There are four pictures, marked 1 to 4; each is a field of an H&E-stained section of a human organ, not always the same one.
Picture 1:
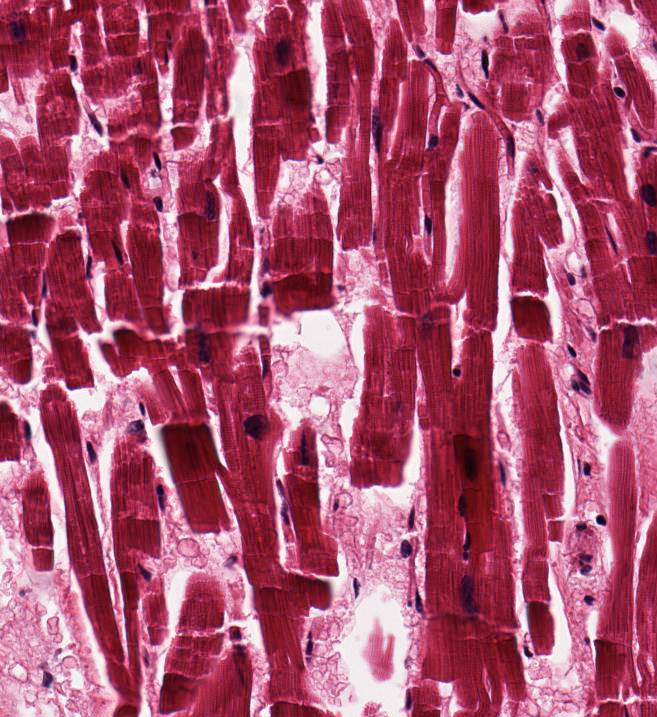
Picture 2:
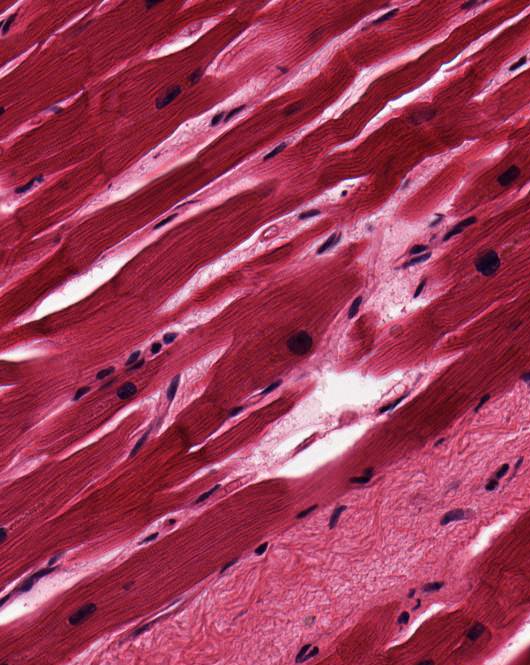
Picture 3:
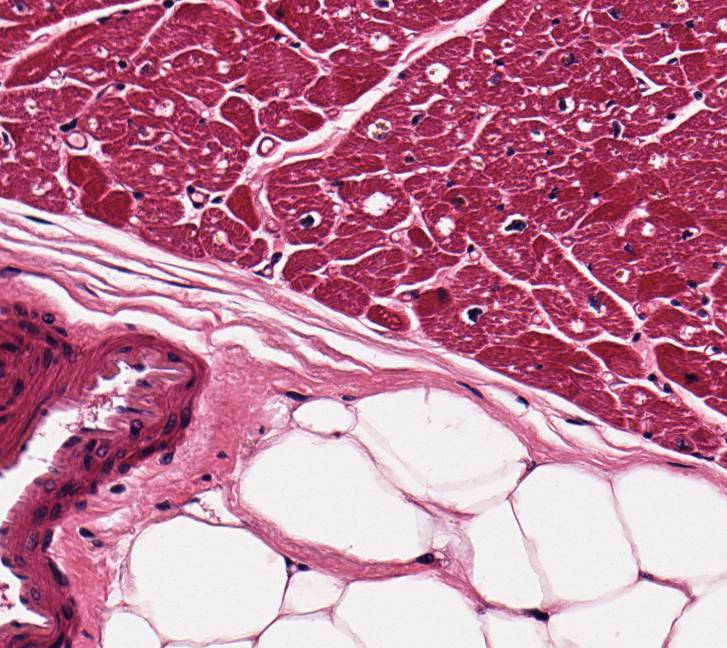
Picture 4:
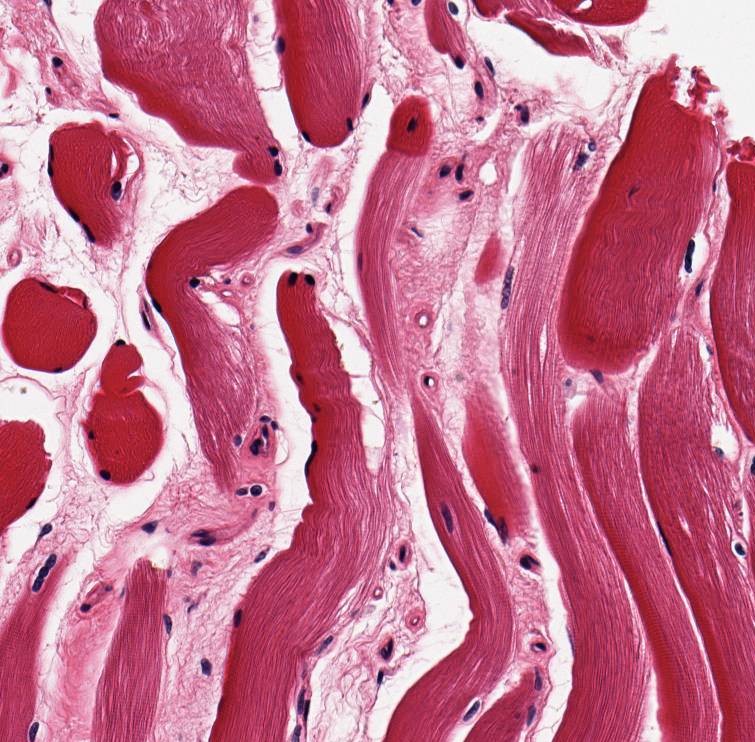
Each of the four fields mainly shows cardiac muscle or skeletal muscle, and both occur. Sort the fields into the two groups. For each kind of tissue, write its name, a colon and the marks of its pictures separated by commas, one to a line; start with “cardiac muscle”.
cardiac muscle: 1, 2, 3
skeletal muscle: 4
